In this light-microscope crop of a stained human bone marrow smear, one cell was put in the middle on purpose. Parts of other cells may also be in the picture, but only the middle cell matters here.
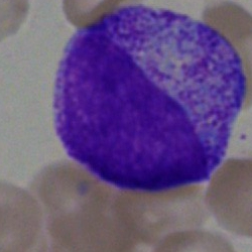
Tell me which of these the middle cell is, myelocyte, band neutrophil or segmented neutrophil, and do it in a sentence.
In the central position of this crop, the cell is a myelocyte.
